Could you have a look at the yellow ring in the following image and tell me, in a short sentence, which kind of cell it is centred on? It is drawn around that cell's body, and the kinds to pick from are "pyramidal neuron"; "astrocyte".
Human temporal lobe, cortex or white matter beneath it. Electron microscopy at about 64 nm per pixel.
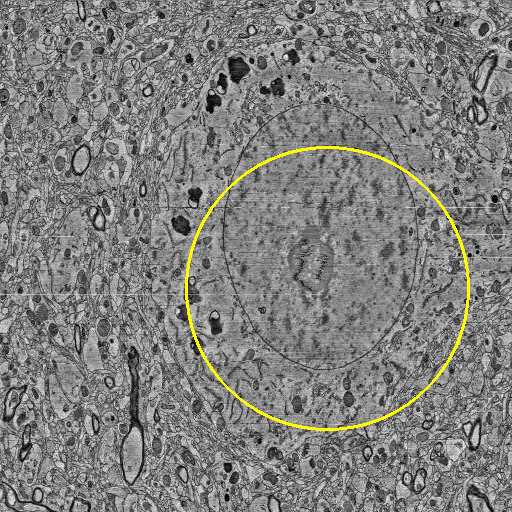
The ring is centred on the body of a pyramidal neuron.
